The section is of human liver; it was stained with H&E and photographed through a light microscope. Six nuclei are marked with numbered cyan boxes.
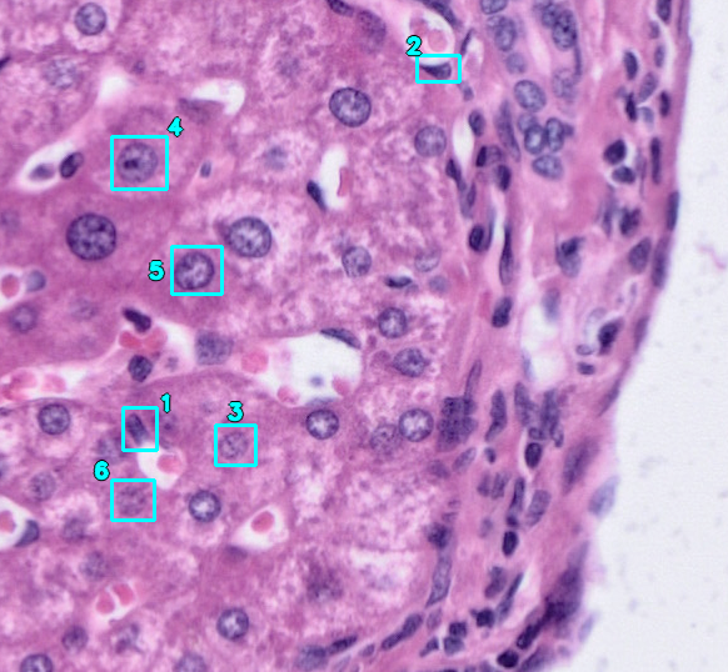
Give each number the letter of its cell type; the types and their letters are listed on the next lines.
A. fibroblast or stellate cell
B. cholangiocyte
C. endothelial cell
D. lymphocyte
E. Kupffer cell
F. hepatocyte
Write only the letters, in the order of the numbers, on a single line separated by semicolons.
A; A; F; F; F; F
